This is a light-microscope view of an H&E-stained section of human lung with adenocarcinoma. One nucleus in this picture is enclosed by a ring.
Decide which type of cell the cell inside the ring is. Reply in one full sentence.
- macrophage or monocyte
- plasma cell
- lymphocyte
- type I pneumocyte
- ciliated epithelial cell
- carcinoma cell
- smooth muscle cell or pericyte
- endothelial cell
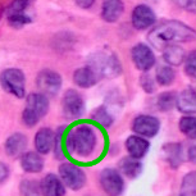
In the tissue at hand, the cell inside the ring is a lymphocyte.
